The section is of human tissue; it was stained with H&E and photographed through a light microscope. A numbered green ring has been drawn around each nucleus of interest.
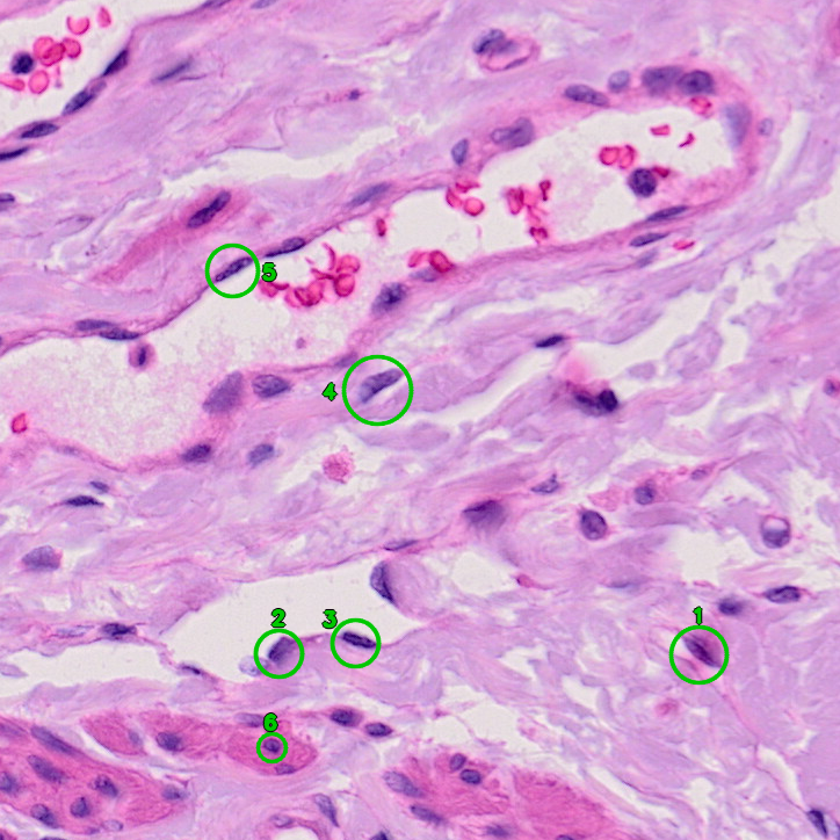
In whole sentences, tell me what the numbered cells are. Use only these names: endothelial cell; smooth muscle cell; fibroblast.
Cells 1, 2, 3 and 5 are endothelial cells. Cell 4 is a fibroblast. Cell 6 is a smooth muscle cell.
